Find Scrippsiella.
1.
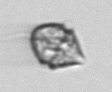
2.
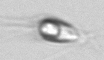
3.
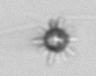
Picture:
1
